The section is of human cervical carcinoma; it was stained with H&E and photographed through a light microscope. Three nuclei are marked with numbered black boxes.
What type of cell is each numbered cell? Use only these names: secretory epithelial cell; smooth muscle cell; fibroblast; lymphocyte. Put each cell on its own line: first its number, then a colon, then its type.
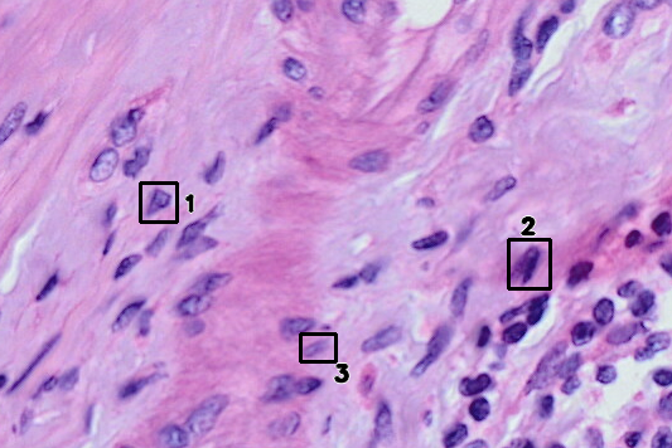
1: fibroblast
2: lymphocyte
3: smooth muscle cell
